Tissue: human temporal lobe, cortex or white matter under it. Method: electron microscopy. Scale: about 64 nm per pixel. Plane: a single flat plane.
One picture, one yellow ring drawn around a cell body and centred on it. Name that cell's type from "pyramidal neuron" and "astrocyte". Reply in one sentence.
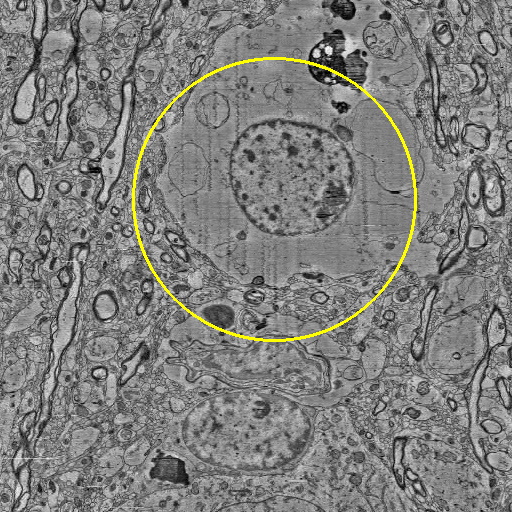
Centred in the ring is an astrocyte.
